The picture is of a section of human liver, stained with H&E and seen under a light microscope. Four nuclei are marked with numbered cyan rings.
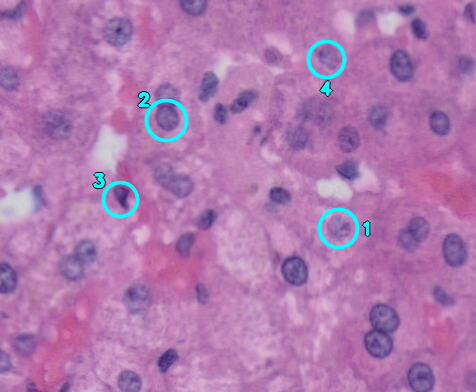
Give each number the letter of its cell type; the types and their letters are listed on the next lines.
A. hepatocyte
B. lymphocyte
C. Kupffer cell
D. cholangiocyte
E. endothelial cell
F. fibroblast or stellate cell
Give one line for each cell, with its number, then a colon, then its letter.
1: A
2: A
3: E
4: A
